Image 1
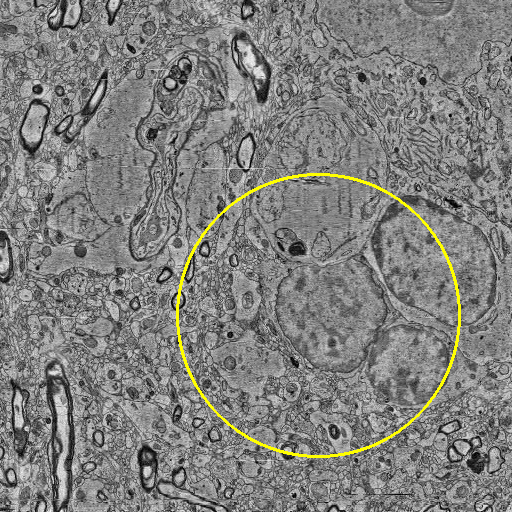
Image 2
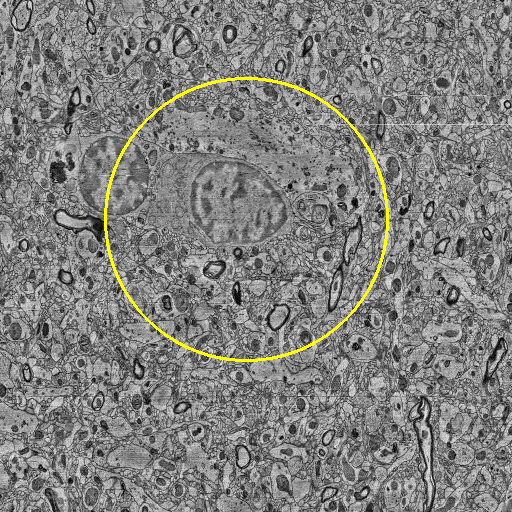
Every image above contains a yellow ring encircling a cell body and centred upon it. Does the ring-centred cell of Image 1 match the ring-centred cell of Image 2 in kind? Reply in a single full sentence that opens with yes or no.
Yes, the cell at the ring's centre in Image 1 is the same kind as that in Image 2.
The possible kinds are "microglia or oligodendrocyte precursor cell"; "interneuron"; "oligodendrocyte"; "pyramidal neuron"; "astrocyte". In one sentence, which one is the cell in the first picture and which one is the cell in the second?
The cell at the ring centre is an oligodendrocyte in both pictures.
